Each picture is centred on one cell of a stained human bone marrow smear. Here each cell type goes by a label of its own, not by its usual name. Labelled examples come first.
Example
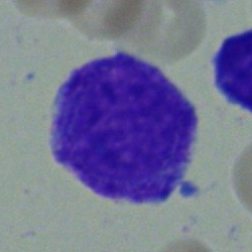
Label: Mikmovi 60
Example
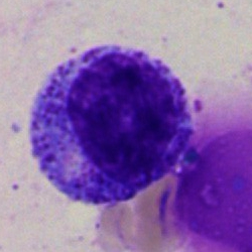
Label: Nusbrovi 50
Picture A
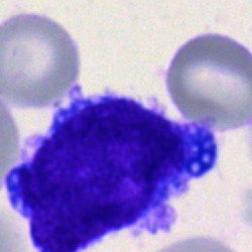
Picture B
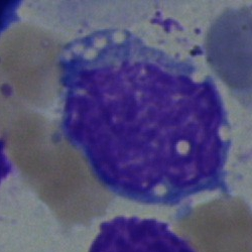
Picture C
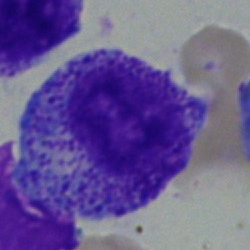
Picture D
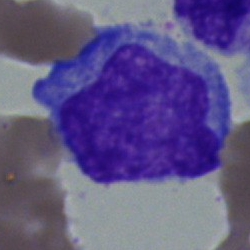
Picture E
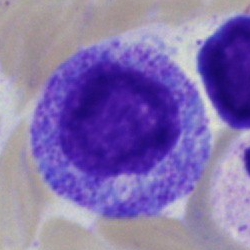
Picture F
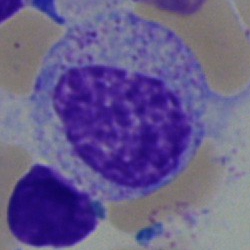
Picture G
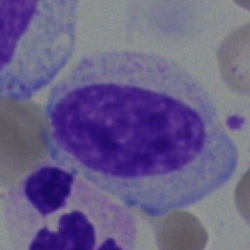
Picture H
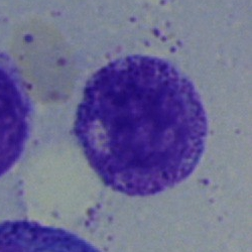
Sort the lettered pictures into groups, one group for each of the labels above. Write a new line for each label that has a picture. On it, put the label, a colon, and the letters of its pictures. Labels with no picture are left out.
Mikmovi 60: A, B, D
Nusbrovi 50: C, E, F, G, H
